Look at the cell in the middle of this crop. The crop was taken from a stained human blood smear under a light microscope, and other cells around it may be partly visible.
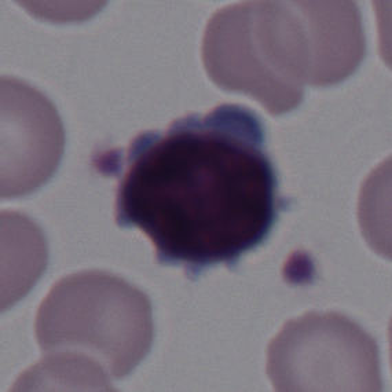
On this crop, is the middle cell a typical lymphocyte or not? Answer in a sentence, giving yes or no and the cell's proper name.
Yes, the cell at the midpoint of the crop is a typical lymphocyte.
